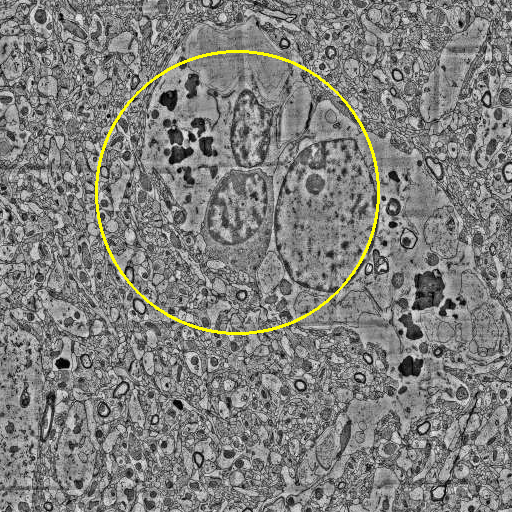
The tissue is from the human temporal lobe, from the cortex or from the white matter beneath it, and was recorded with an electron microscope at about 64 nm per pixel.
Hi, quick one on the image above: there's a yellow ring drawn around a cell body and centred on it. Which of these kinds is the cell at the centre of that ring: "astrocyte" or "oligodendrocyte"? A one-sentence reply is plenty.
The cell at the centre of the ring is an oligodendrocyte.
